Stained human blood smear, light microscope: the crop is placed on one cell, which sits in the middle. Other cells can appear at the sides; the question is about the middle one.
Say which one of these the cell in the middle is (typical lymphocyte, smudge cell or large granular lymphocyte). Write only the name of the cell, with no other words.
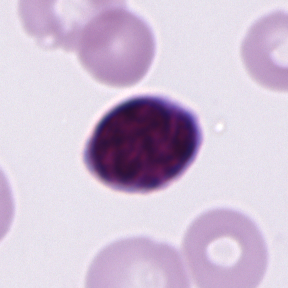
large granular lymphocyte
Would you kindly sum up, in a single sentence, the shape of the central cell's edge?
Edge check done: smooth outline, no projections present.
